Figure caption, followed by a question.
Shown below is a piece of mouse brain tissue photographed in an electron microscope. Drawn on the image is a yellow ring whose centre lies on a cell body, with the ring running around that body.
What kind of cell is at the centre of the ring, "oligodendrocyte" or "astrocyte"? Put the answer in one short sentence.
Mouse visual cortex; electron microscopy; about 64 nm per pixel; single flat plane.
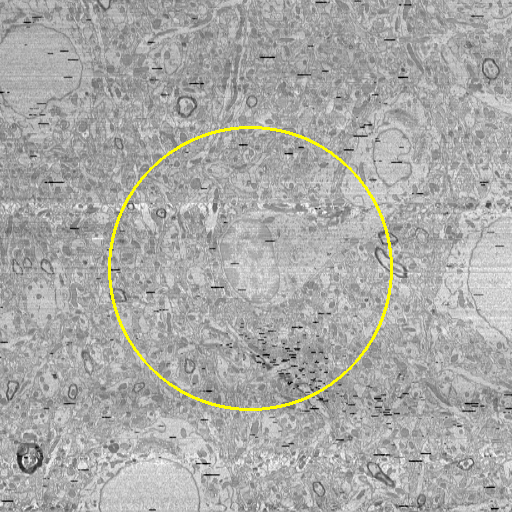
The ring marks the cell body of an oligodendrocyte.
